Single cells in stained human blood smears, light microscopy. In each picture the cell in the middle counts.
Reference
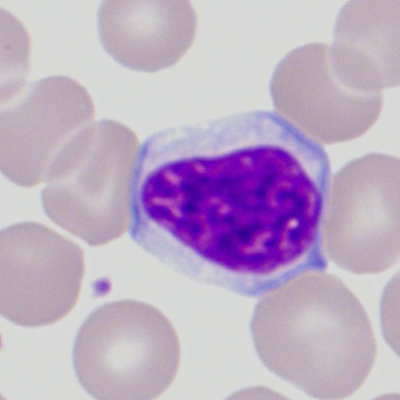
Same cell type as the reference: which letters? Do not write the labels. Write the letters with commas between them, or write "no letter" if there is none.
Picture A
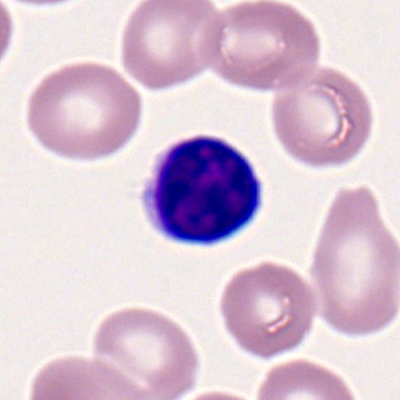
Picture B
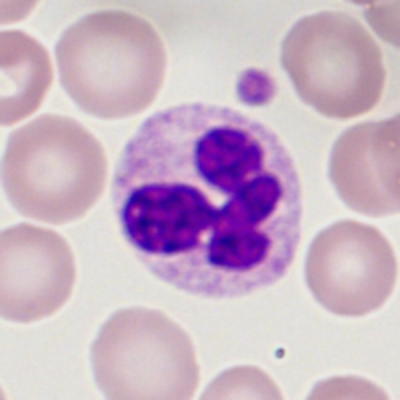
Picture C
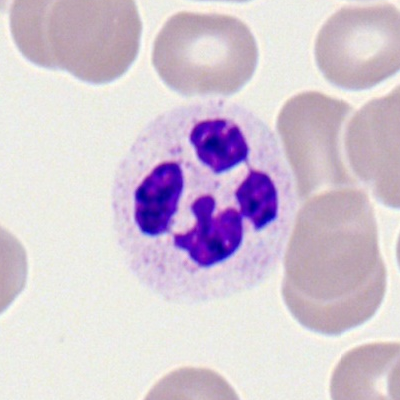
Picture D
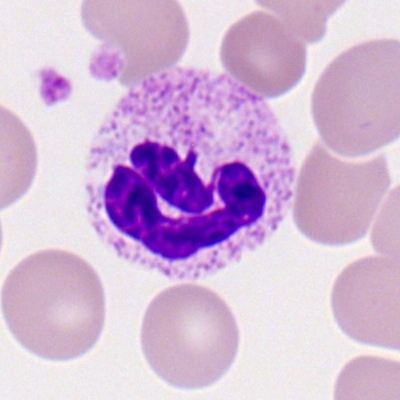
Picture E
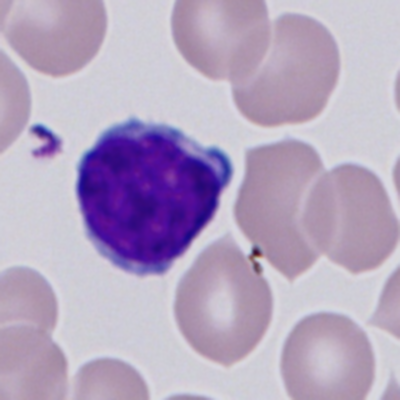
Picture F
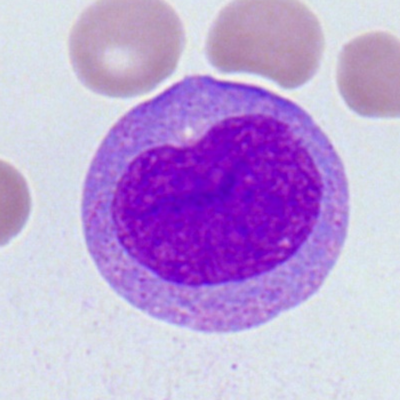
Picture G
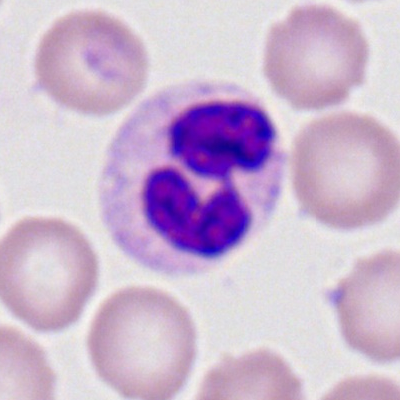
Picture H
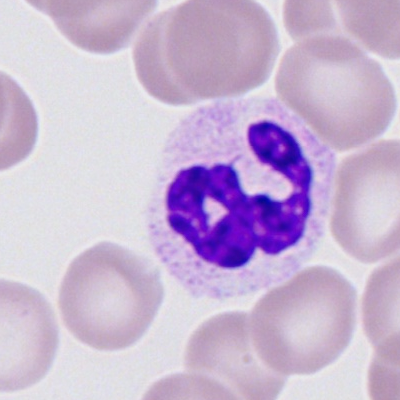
A, E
